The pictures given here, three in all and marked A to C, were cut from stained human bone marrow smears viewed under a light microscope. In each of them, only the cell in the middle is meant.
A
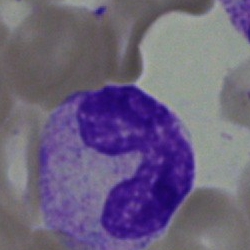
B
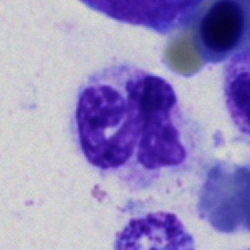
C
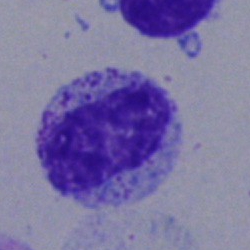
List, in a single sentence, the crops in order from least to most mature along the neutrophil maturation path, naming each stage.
The order of the crops by rising maturity is crop C (a myelocyte), crop A (a band neutrophil) and crop B (a segmented neutrophil).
